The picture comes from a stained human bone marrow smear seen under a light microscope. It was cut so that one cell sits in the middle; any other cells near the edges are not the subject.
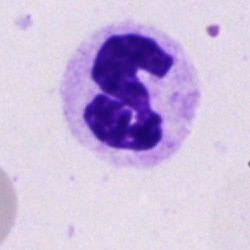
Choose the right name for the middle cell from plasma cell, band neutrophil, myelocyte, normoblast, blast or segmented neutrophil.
segmented neutrophil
